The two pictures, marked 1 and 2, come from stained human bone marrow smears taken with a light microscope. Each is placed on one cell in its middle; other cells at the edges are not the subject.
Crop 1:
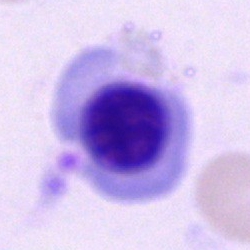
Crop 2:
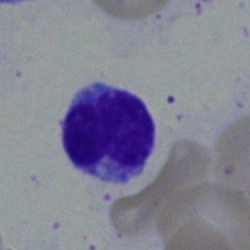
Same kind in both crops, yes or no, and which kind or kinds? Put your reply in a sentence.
No, an erythroblast is the subject of crop 1, and a lymphocyte is the subject of crop 2.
